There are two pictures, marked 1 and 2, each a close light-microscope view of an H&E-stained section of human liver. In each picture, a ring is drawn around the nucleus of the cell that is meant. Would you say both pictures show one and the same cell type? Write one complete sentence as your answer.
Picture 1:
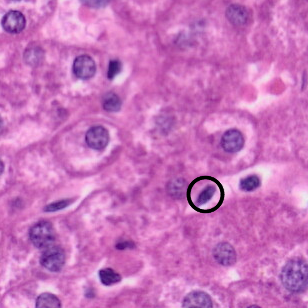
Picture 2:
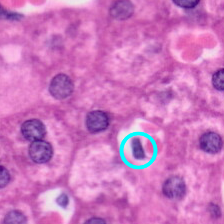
Yes, both are lymphocytes.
